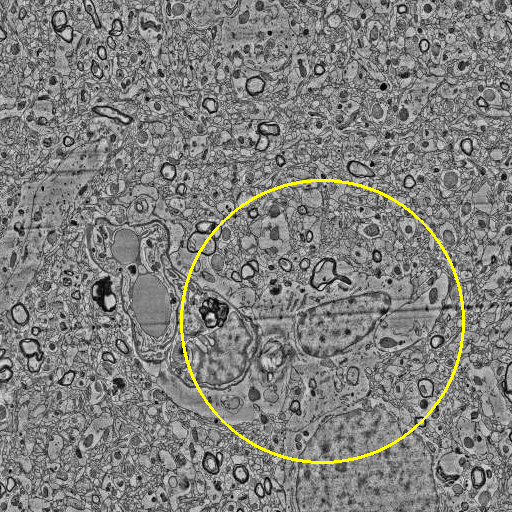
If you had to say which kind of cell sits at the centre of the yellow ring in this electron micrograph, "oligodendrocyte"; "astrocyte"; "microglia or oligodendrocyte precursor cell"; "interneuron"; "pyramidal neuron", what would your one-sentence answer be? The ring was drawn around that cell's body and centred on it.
The cell sitting at the centre of the ring is a microglial cell or oligodendrocyte precursor cell.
